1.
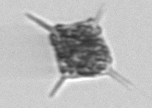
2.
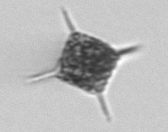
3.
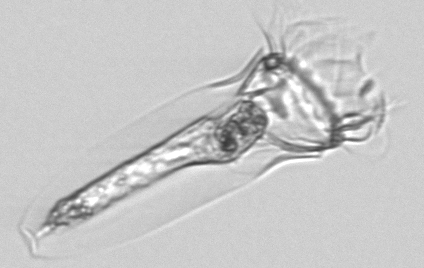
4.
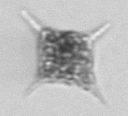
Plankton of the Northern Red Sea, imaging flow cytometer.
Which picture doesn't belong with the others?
Picture 3.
